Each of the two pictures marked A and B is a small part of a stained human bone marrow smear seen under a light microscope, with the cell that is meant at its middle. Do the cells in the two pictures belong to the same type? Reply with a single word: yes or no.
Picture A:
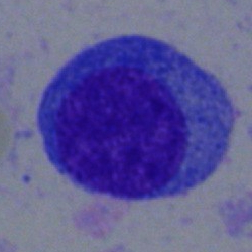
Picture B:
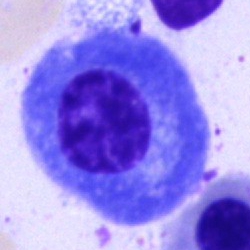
yes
